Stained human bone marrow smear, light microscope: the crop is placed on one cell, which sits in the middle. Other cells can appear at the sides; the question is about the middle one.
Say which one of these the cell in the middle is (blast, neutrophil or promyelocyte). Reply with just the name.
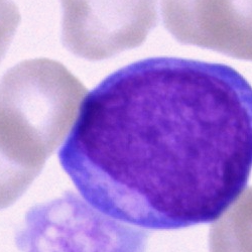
blast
